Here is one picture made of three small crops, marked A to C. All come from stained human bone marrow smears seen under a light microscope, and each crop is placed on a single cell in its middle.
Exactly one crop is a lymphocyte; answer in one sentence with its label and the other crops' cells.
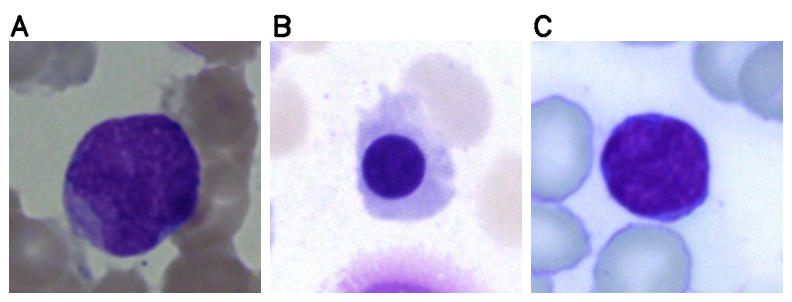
With respect to crop C, the cell is a lymphocyte, whereas crop A is a blast and crop B is an erythroblast.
